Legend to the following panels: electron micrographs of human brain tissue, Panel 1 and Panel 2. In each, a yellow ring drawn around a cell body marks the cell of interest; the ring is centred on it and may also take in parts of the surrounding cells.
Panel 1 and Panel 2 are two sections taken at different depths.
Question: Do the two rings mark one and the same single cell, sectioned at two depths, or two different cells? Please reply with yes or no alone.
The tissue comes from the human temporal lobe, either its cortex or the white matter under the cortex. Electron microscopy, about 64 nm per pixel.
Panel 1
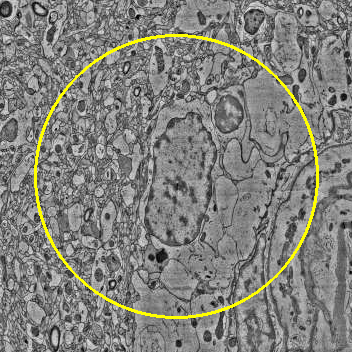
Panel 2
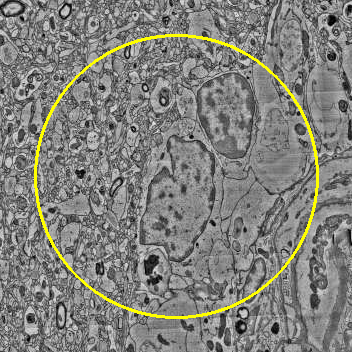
yes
